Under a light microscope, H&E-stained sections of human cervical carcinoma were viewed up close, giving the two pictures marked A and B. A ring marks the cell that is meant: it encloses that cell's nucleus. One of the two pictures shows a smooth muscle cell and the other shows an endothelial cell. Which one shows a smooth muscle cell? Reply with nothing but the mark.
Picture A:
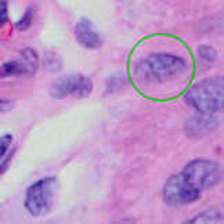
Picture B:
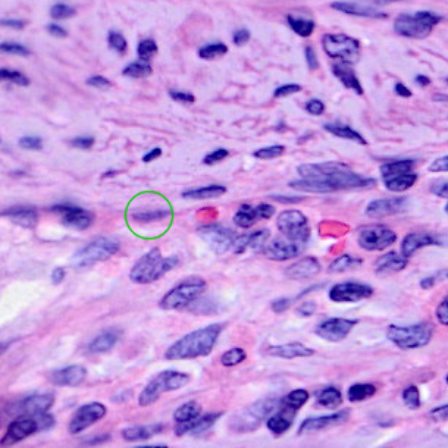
A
